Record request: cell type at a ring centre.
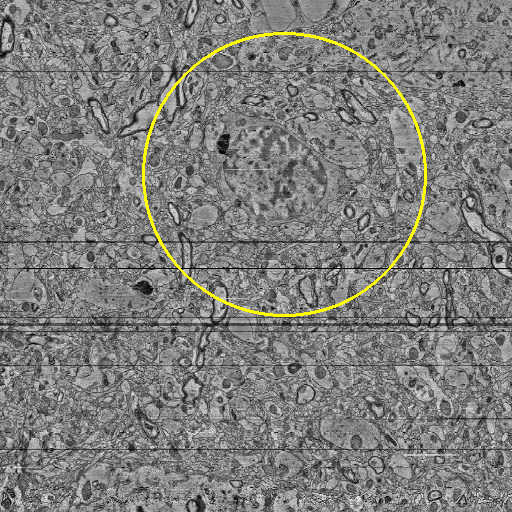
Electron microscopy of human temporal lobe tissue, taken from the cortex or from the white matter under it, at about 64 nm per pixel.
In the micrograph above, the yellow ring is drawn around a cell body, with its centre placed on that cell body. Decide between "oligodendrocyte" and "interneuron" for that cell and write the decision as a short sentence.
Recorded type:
The cell centred in the yellow ring is an oligodendrocyte.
